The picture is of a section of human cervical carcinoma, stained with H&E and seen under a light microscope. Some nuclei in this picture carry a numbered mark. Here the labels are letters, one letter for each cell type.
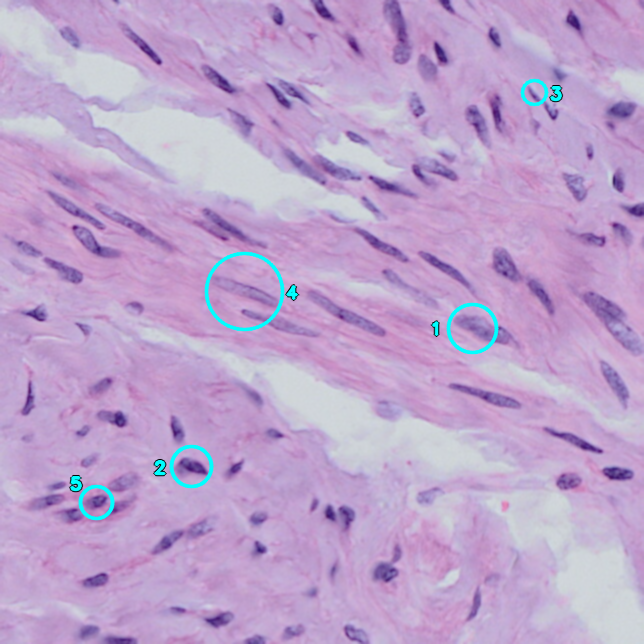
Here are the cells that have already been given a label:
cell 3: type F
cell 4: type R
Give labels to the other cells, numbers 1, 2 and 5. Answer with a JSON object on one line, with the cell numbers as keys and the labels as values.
{"1": "type F", "2": "type F", "5": "type R"}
